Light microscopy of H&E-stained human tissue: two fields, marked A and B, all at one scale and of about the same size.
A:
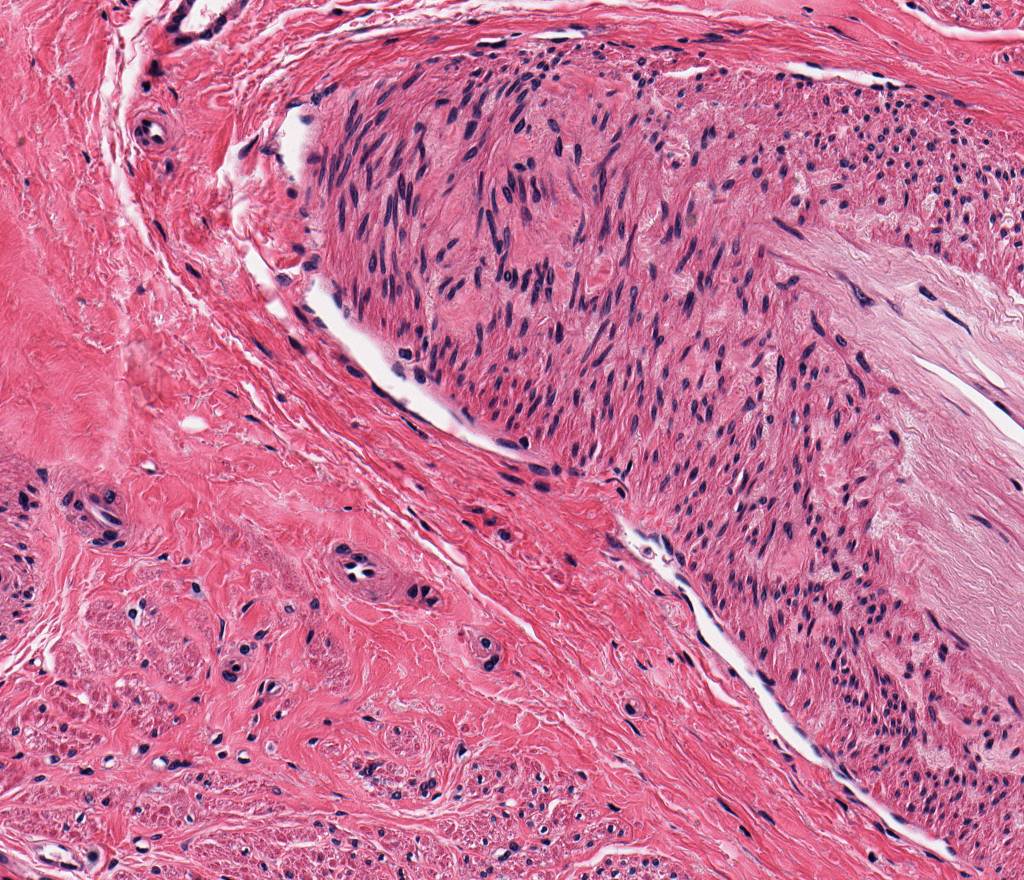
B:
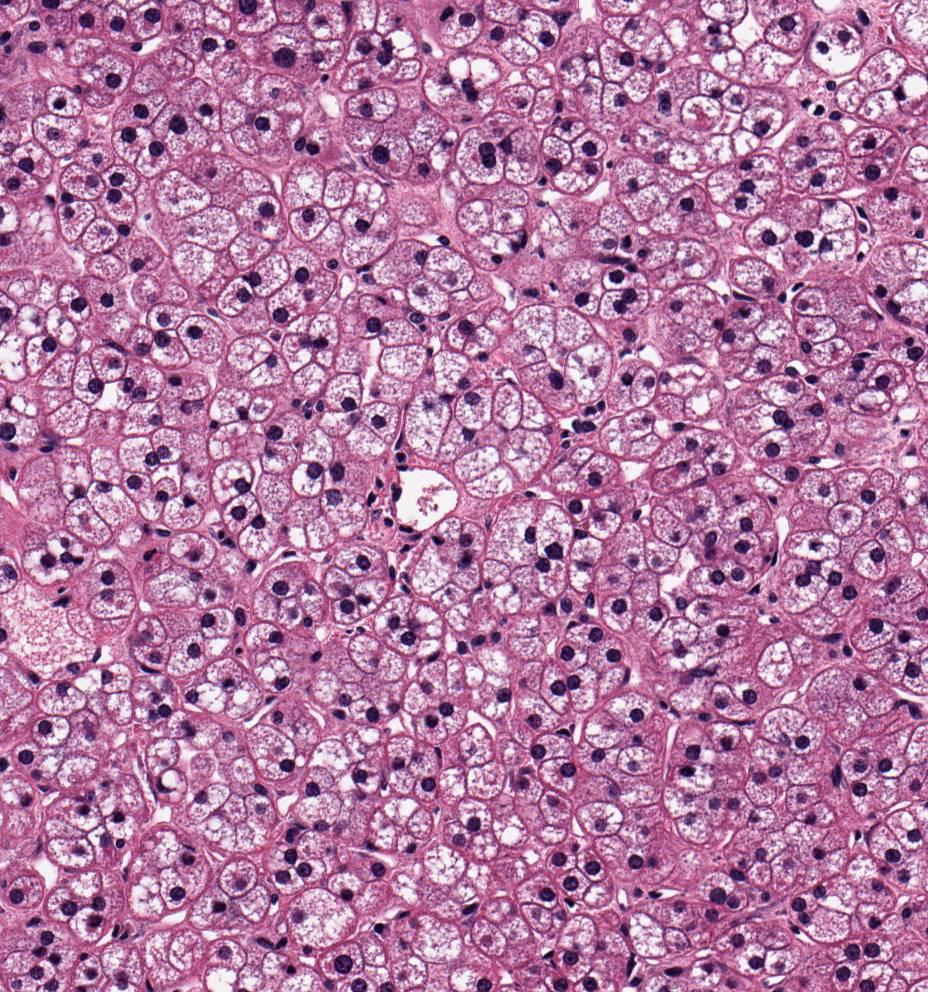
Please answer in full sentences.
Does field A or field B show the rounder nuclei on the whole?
It is field B whose nuclei are the rounder.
